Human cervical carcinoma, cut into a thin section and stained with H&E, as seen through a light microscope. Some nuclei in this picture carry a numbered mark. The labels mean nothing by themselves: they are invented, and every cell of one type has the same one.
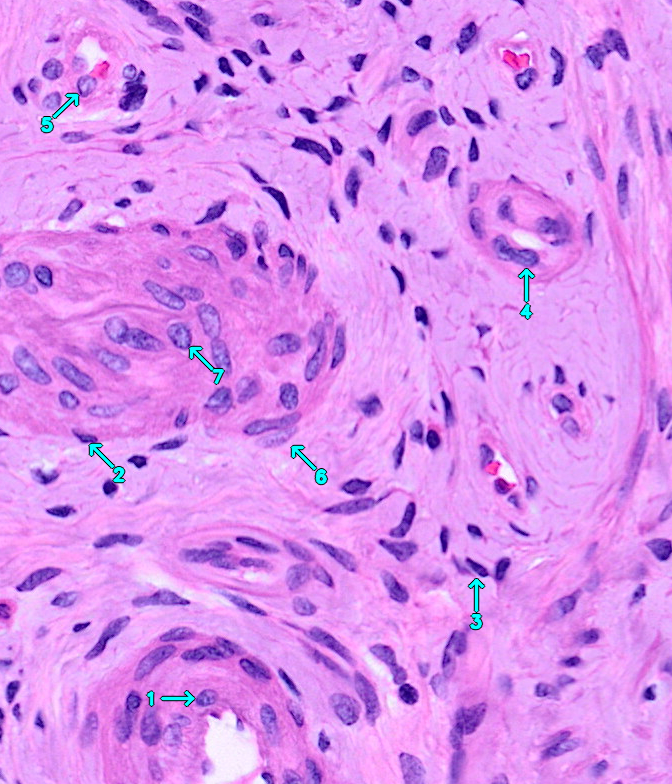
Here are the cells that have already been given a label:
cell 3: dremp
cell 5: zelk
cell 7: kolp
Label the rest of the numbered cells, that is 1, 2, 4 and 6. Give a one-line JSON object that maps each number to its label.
{"1": "kolp", "2": "kolp", "4": "zelk", "6": "kolp"}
